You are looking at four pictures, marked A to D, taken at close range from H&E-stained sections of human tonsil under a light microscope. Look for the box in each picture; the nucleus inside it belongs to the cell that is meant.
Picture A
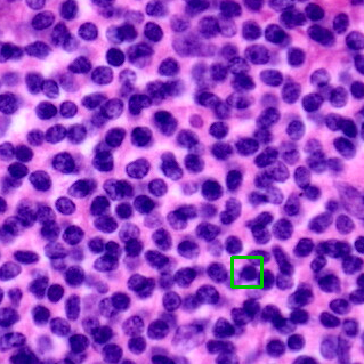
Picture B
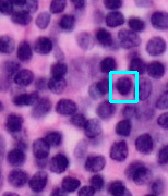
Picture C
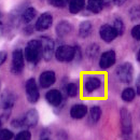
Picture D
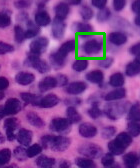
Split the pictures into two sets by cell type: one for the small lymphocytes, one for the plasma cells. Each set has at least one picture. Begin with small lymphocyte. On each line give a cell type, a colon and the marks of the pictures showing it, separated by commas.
small lymphocyte: A, B, D
plasma cell: C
